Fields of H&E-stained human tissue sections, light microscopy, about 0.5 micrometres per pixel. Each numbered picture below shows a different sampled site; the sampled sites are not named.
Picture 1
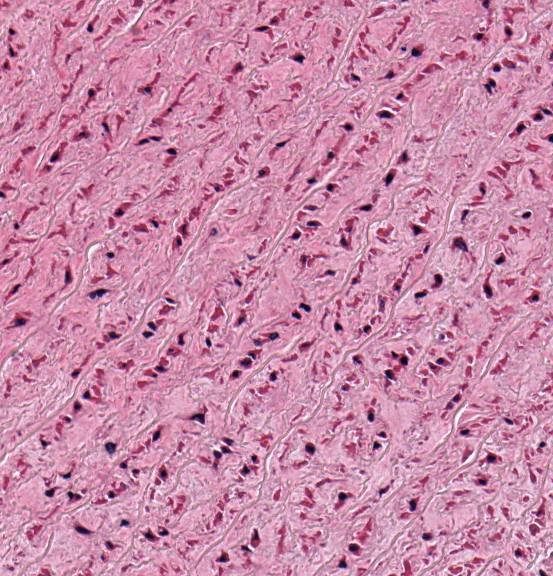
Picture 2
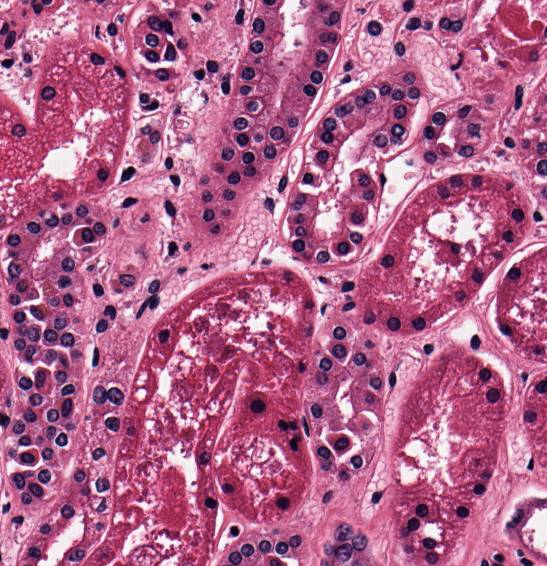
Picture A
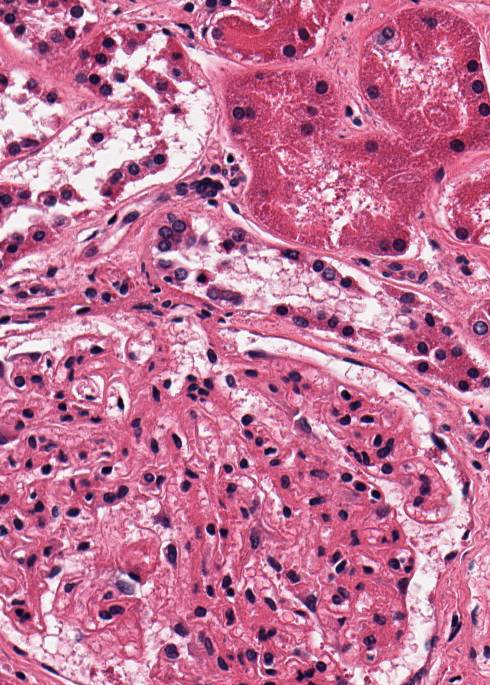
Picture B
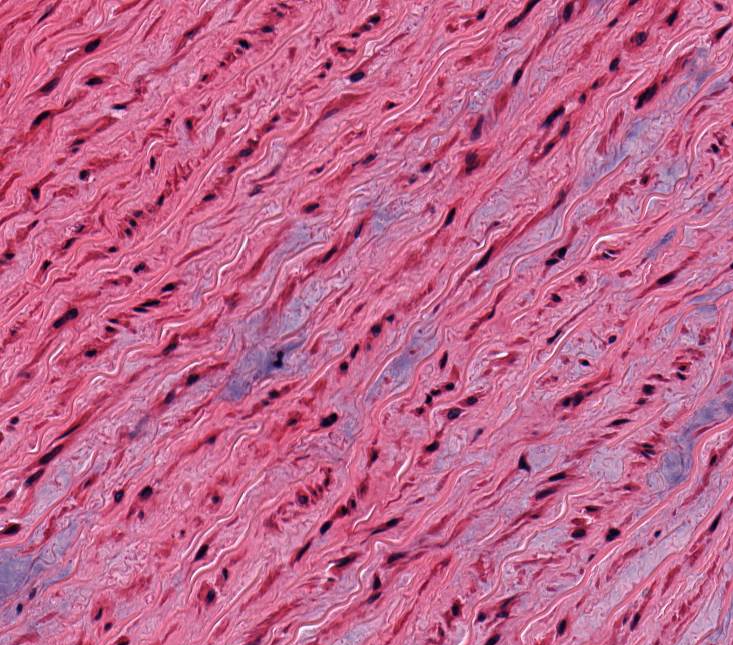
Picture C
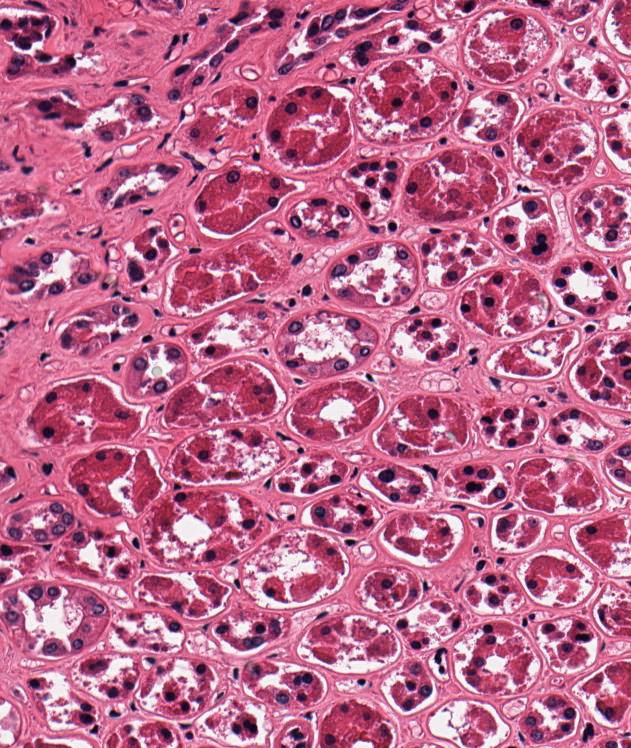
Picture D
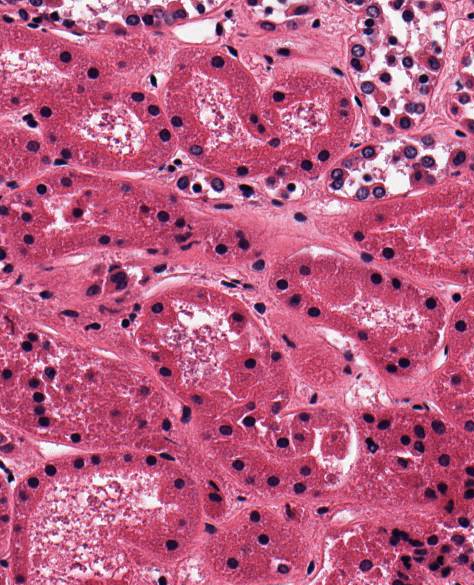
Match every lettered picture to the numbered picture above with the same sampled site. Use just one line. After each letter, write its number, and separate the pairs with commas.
A 2, B 1, C 2, D 2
